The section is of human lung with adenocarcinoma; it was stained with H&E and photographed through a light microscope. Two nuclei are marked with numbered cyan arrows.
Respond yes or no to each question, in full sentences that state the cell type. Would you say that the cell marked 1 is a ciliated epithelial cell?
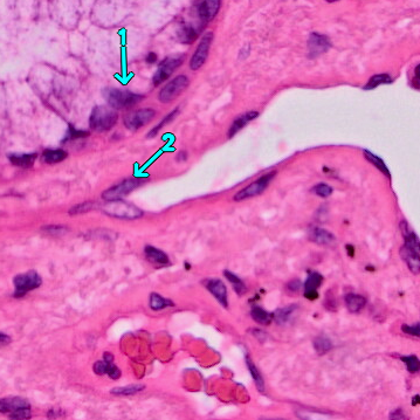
Yes, cell 1 among the marked cells is a ciliated epithelial cell.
